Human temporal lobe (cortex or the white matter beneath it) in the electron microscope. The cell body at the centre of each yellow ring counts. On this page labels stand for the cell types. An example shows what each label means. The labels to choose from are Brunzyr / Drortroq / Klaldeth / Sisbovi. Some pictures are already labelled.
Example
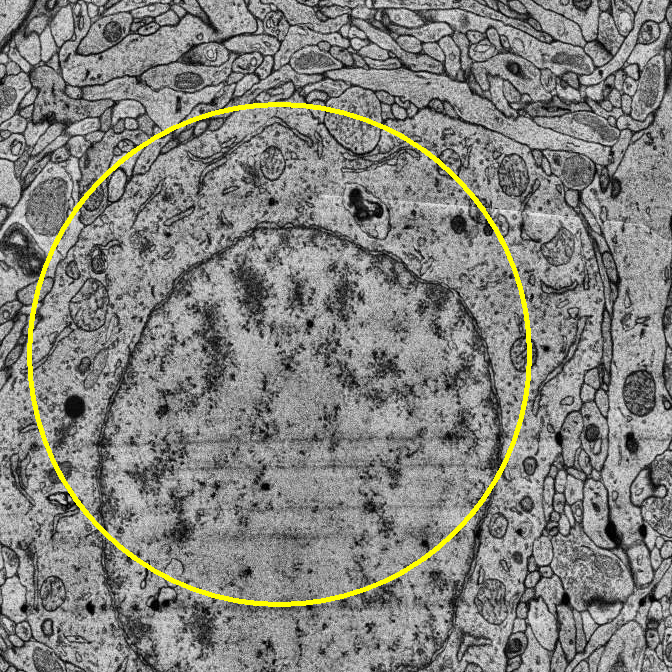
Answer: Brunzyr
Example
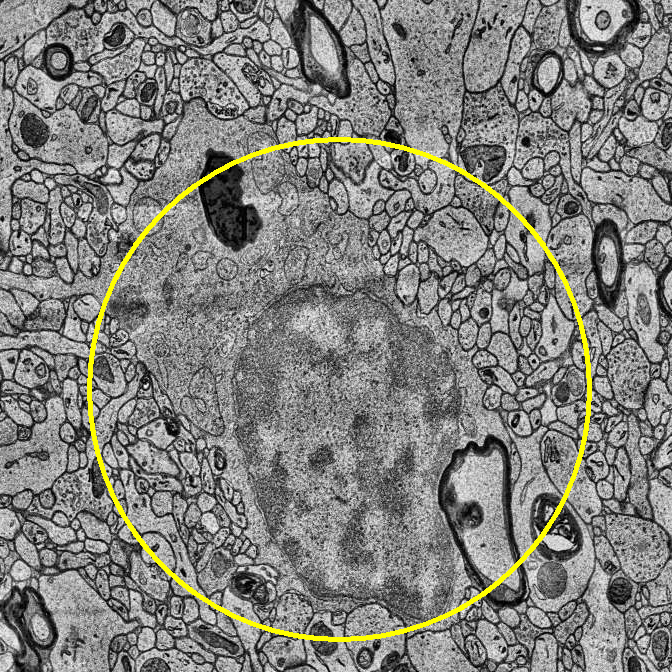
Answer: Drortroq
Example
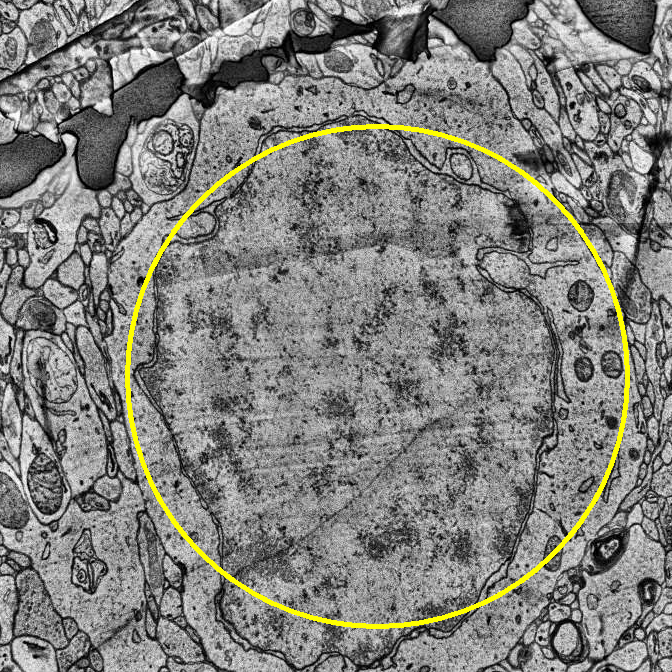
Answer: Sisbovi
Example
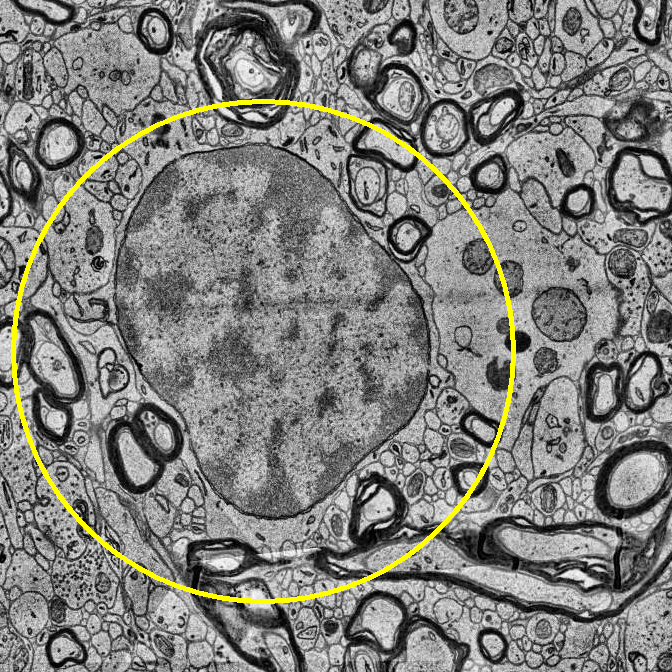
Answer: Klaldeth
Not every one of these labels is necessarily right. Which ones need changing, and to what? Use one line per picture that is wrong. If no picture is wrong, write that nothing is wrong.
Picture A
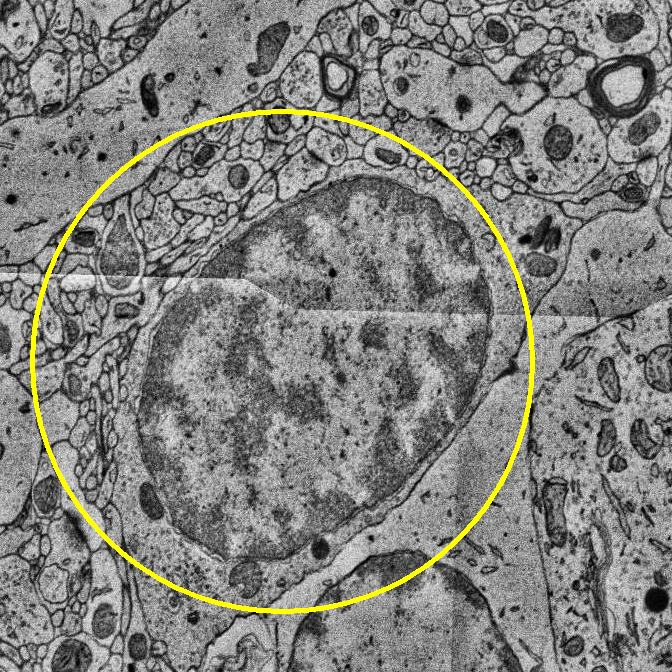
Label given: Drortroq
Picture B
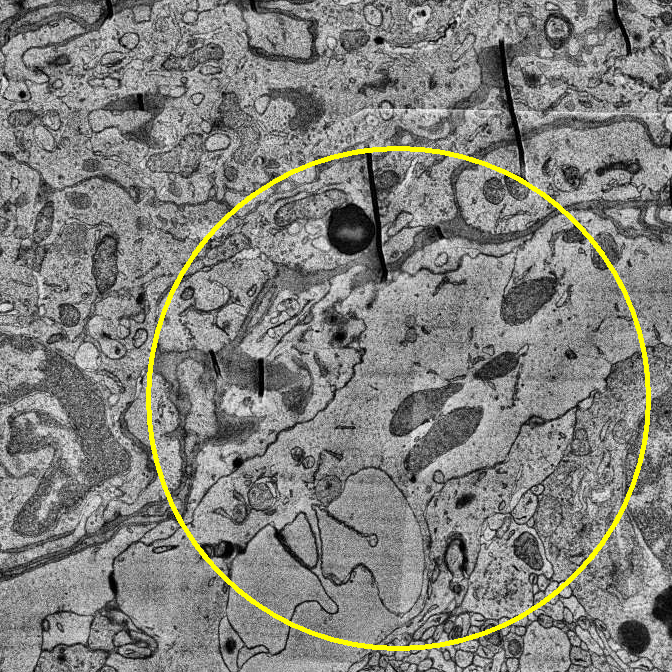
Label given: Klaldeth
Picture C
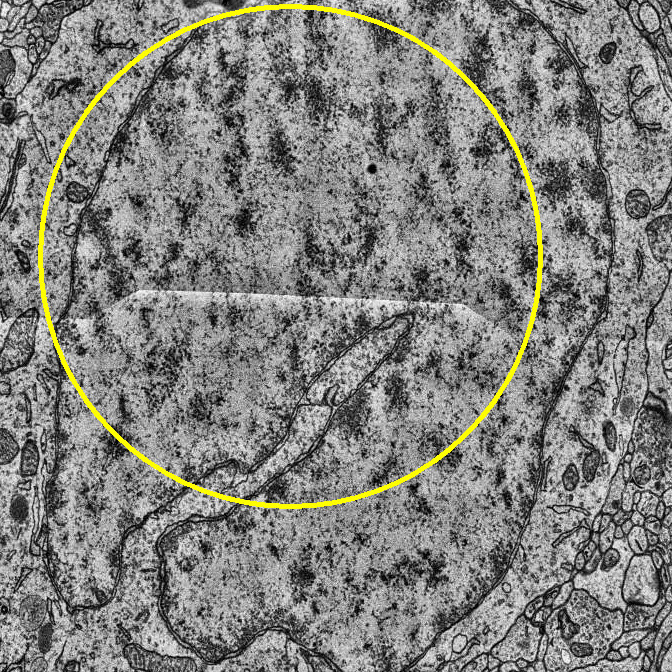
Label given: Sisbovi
Every label is right.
